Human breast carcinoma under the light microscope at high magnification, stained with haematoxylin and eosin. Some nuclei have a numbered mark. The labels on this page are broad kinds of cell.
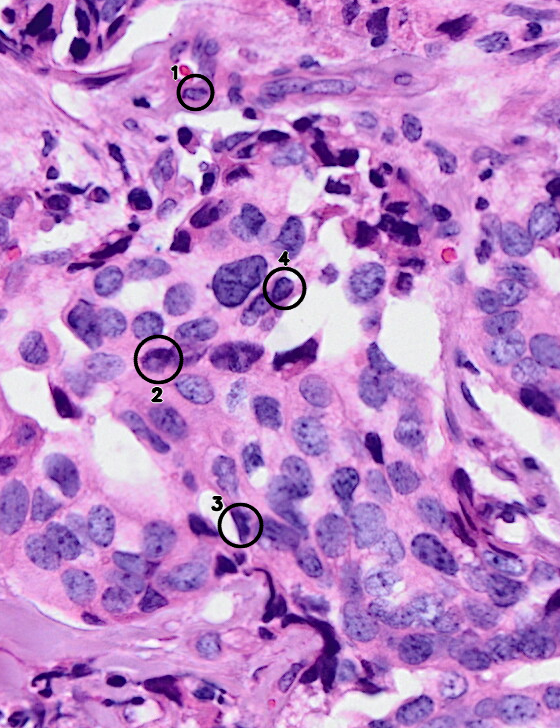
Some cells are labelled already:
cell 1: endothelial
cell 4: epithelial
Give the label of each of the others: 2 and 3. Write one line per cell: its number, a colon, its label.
2: epithelial
3: epithelial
